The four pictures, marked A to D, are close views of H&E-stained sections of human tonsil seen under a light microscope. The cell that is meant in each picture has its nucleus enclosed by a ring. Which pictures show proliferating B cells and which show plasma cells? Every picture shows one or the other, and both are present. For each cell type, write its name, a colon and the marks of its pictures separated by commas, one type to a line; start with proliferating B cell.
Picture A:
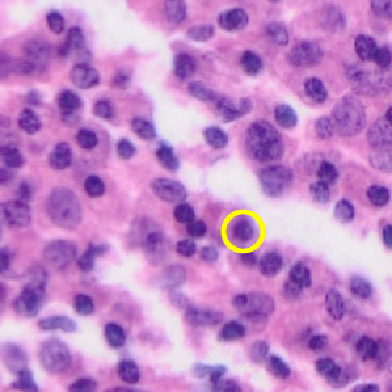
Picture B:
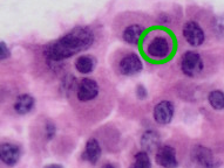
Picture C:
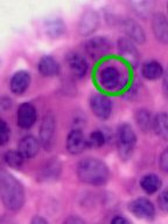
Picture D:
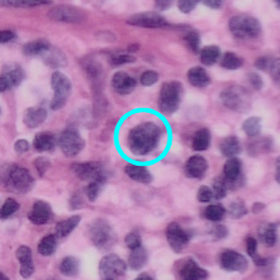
proliferating B cell: D
plasma cell: A, B, C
